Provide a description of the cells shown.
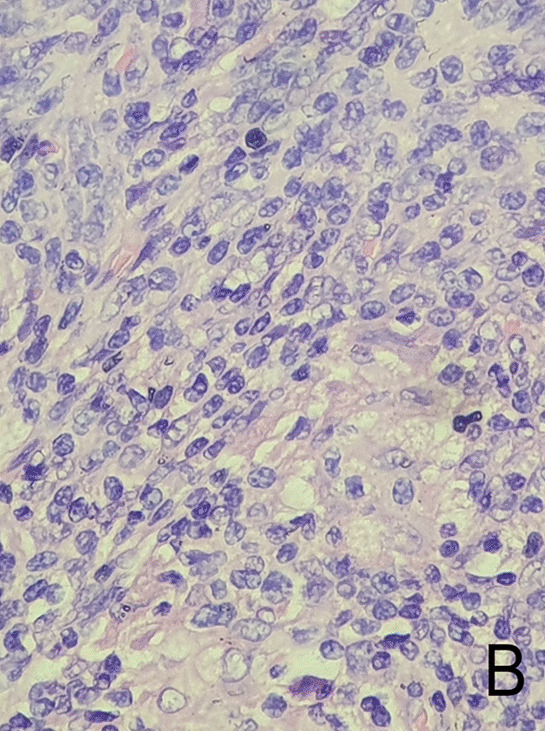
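This is a tumor mass made of oval cells mixed with a dense inflammatory infiltrate. Scattered among them are smaller cells with dark, compact round nuclei, typical of lymphocytes, and a few very dark, condensed nuclei. Some clear spaces and small vessels with red cells are also seen.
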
